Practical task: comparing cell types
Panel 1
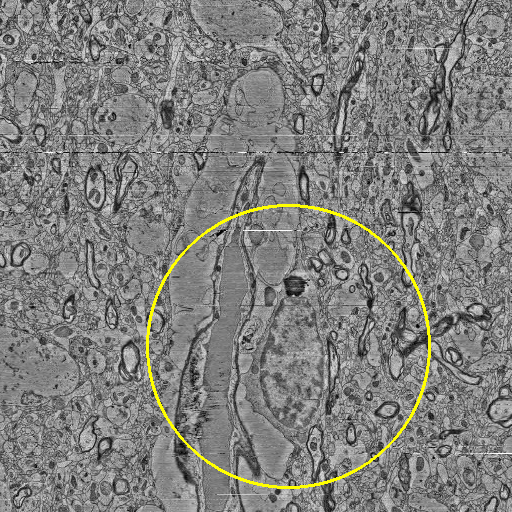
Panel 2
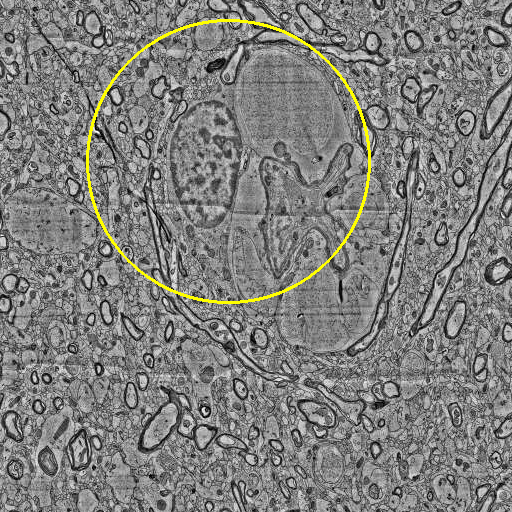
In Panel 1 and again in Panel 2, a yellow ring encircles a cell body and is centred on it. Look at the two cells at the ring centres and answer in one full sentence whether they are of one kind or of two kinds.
The two cells sitting at the ring centres of Panels 1 and 2 are of one kind.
